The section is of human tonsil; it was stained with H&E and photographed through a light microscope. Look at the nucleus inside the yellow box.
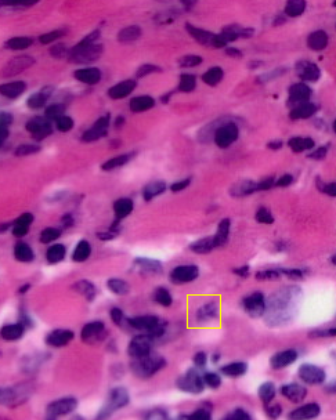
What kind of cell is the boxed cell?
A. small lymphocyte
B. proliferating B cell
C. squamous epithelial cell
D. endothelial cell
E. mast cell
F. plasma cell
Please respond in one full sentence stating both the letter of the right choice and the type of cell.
Option D properly identifies the boxed cell as an endothelial cell.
